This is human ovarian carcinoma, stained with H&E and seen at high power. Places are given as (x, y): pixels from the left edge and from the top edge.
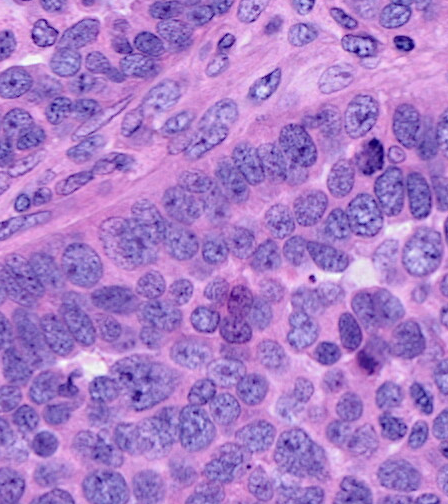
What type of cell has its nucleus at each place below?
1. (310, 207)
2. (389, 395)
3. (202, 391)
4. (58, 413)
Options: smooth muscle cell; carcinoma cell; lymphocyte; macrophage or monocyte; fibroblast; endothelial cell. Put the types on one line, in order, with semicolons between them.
carcinoma cell; carcinoma cell; macrophage or monocyte; carcinoma cell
